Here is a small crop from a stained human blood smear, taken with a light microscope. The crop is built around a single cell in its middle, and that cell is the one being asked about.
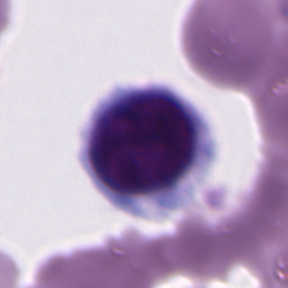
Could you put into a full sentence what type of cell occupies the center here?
The central element of this crop is a cell, namely a hairy cell.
